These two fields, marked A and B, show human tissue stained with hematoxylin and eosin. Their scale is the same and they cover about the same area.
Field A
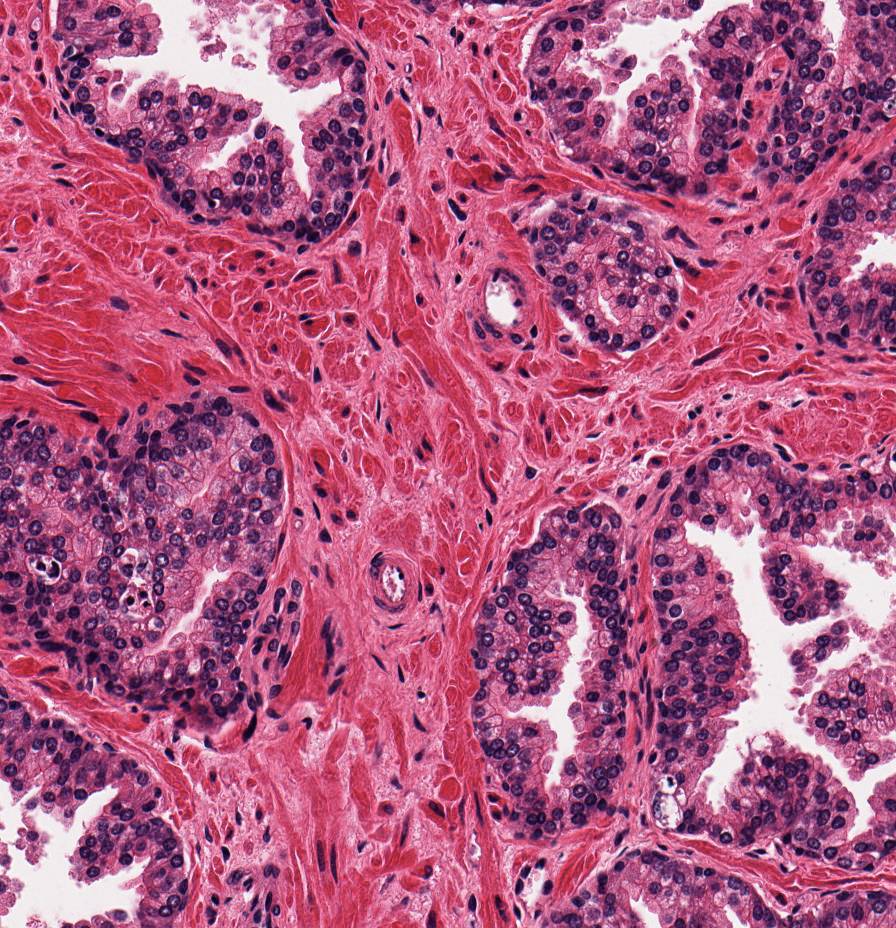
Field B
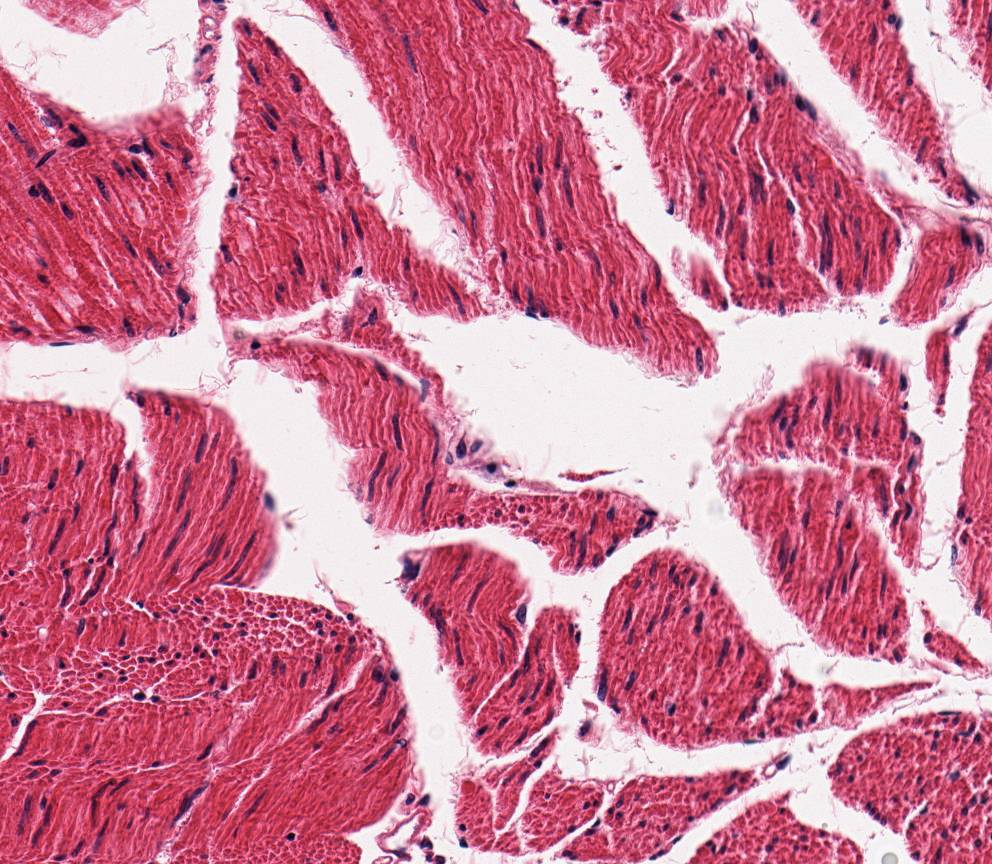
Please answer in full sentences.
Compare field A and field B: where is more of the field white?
More of field B is empty and white.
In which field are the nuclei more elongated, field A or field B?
Longer, more slender nuclei lie in field B.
